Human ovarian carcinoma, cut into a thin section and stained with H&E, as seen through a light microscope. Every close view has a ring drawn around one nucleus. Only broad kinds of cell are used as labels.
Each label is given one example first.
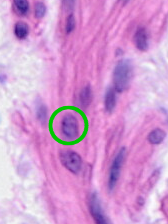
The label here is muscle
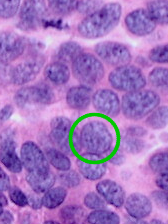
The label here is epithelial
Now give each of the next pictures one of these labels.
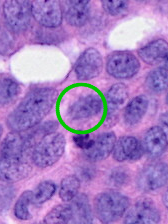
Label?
epithelial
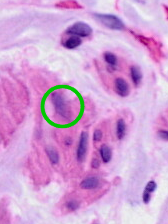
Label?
muscle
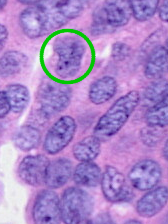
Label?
epithelial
